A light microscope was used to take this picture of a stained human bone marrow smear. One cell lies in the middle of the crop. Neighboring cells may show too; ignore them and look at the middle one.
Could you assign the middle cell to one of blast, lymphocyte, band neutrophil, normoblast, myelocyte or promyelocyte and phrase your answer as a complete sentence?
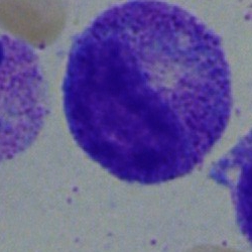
The middle of this crop is occupied by a myelocyte.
